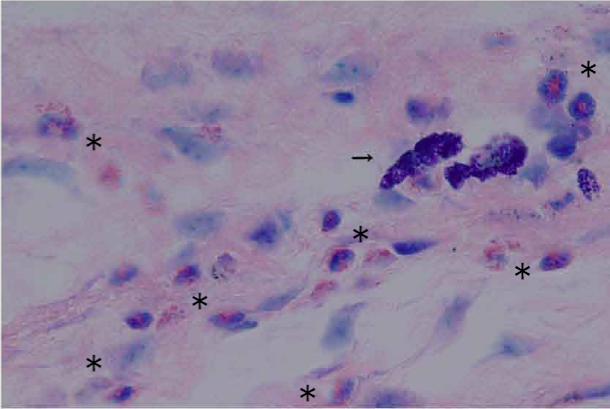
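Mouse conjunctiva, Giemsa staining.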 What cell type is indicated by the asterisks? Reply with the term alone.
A: eosinophils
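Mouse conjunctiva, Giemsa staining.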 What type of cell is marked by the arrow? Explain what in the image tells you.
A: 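The marked cells are large and packed with dark purple granules. The granules obscure the nucleus. So: mast cells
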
